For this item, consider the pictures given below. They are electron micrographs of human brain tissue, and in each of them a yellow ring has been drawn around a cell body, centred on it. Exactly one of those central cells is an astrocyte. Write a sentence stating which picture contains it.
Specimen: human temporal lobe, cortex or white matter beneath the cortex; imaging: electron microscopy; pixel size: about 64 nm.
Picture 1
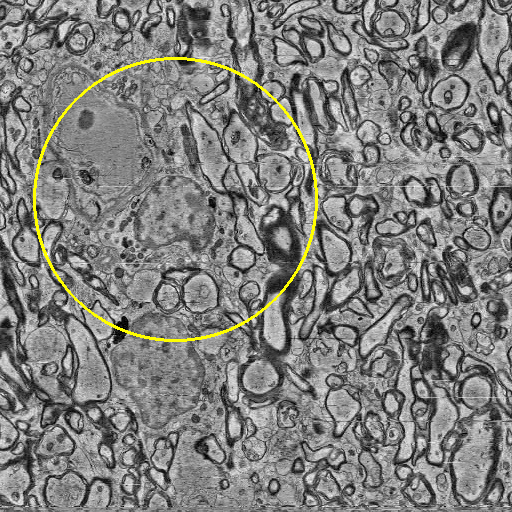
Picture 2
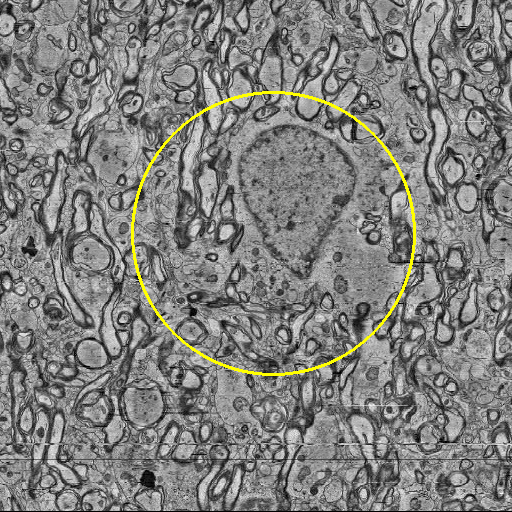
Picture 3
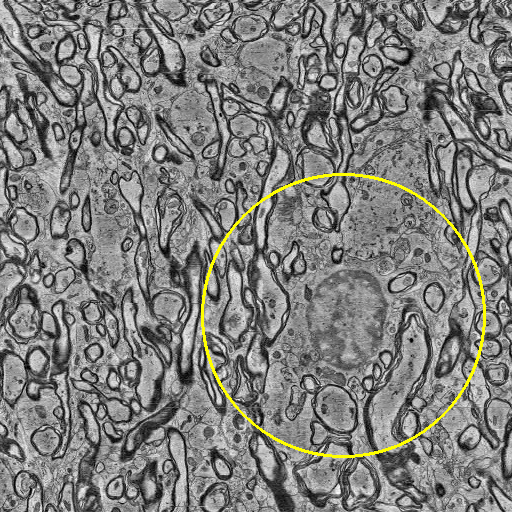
It is in Picture 2.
